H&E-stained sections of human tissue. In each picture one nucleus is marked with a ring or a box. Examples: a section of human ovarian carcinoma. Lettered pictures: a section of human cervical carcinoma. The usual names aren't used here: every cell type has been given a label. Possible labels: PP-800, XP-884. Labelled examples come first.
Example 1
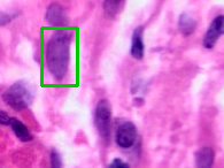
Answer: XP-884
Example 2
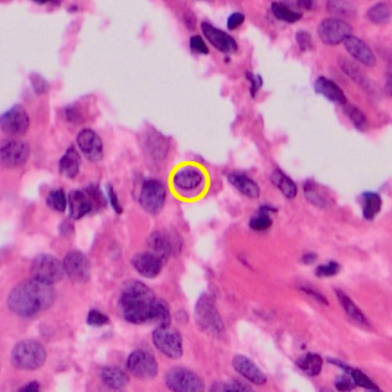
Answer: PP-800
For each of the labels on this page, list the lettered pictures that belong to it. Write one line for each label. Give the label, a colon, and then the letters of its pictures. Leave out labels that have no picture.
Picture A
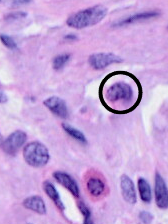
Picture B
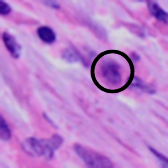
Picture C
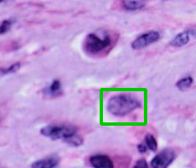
PP-800: A, B, C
